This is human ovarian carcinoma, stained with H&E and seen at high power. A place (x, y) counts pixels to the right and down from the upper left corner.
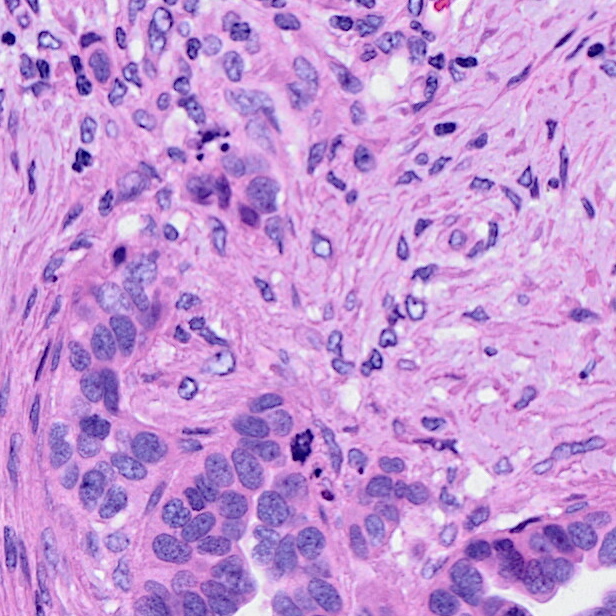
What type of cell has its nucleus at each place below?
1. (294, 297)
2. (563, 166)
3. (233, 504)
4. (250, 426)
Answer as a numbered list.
1. fibroblast
2. fibroblast
3. carcinoma cell
4. carcinoma cell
